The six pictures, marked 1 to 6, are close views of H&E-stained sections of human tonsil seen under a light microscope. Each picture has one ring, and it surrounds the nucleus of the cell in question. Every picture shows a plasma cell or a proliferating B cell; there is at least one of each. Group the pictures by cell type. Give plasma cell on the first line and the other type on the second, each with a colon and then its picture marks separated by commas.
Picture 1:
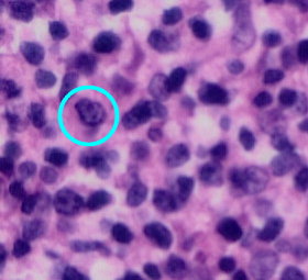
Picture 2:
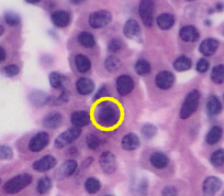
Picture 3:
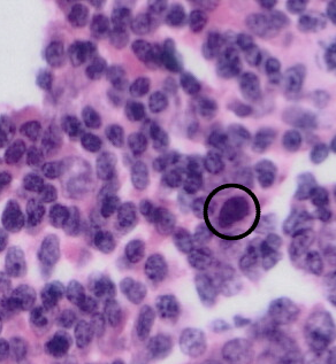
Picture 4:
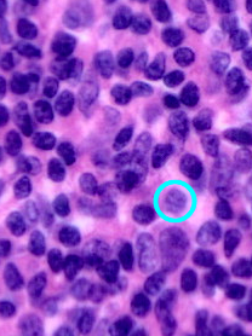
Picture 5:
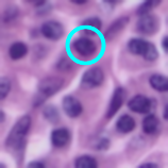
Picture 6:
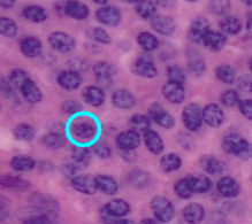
plasma cell: 2, 5, 6
proliferating B cell: 1, 3, 4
